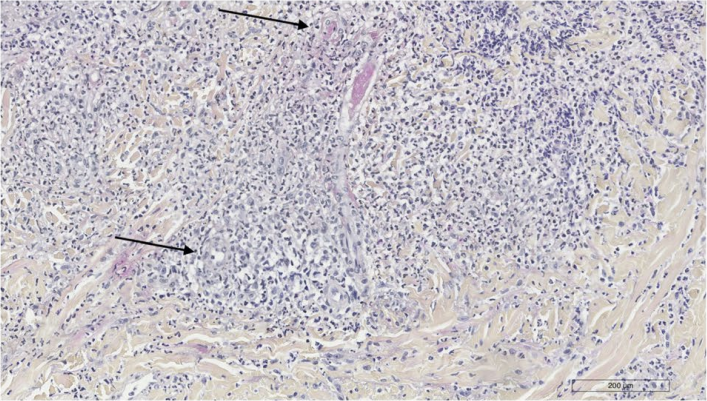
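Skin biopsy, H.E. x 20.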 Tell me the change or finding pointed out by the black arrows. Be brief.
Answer: Vasculitis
